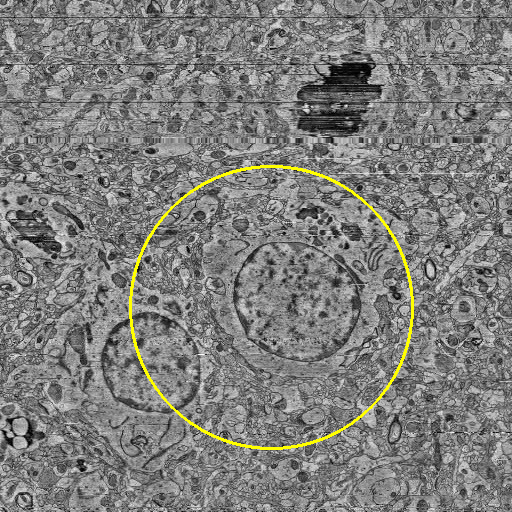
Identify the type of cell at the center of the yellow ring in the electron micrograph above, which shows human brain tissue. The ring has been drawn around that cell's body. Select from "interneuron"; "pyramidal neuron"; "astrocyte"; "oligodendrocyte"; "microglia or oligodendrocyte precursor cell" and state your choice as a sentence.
The yellow ring is centered on the body of an astrocyte.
